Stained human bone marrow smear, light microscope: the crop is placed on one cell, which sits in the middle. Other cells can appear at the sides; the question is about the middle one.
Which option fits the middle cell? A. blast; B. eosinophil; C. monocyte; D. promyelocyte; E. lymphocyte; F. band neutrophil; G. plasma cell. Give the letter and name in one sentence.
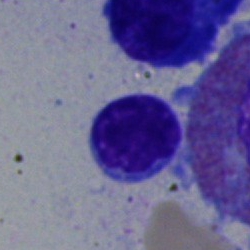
With the cell in the middle being a lymphocyte, option E is the correct choice.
